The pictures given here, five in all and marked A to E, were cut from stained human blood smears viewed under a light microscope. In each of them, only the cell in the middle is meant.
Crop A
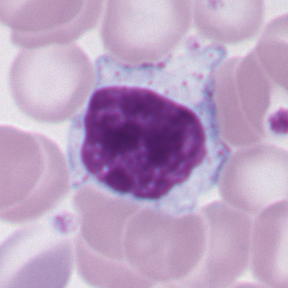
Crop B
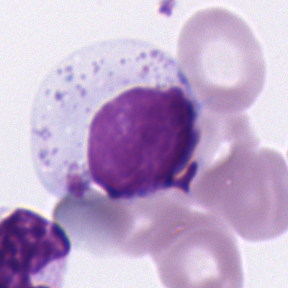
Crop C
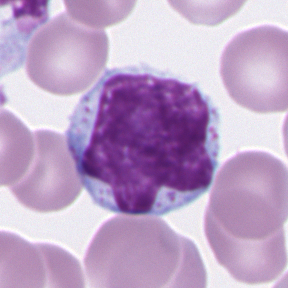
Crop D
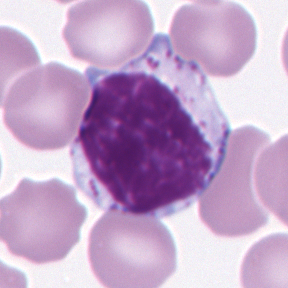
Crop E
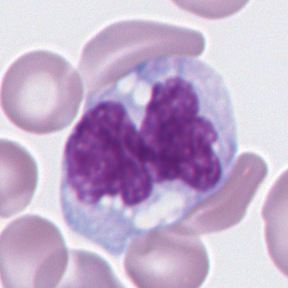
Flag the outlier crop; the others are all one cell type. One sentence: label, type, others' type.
Crop E is a monocyte, while the rest of the set consists of large granular lymphocytes.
